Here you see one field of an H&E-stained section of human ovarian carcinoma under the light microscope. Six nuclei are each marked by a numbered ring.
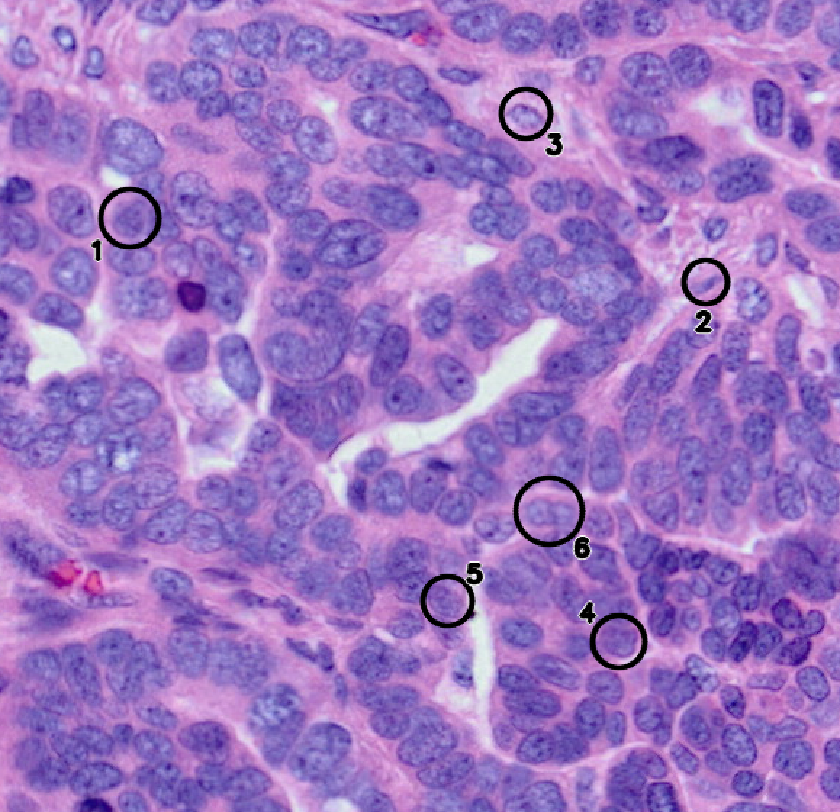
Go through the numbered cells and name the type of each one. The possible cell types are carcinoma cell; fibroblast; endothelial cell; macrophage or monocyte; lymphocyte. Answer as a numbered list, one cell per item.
1. carcinoma cell
2. fibroblast
3. fibroblast
4. carcinoma cell
5. carcinoma cell
6. carcinoma cell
